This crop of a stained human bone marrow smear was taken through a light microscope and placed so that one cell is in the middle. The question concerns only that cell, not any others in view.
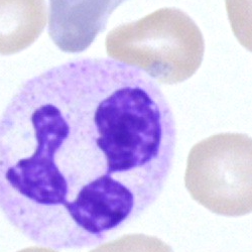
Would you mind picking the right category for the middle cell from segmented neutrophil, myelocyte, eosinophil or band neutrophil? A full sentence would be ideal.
For this crop, the cell in the middle is a segmented neutrophil.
